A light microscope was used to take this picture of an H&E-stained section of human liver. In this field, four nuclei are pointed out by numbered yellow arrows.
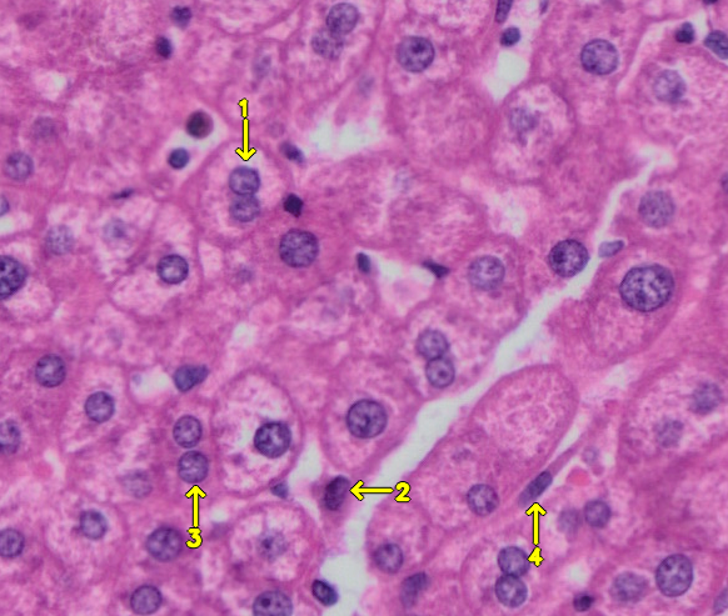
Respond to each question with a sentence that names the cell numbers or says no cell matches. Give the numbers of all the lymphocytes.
There is not a single one of the lymphocytes among the numbered cells.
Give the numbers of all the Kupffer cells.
The cells with the number labels 2 and 4 are Kupffer cells.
